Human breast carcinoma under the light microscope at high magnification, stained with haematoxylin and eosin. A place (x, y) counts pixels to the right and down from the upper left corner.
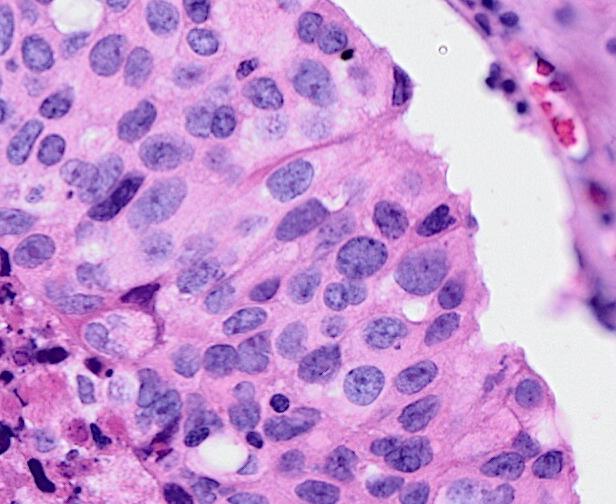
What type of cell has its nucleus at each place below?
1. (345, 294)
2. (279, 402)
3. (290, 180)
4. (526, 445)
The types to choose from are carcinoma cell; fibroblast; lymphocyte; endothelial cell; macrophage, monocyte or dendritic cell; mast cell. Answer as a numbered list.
1. carcinoma cell
2. lymphocyte
3. carcinoma cell
4. carcinoma cell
